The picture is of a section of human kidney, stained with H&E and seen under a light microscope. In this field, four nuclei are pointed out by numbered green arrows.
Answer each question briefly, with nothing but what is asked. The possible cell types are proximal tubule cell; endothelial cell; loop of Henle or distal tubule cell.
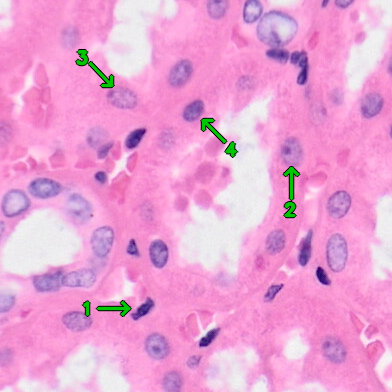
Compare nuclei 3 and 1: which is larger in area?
3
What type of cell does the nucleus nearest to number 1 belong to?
proximal tubule cell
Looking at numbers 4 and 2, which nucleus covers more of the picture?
2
